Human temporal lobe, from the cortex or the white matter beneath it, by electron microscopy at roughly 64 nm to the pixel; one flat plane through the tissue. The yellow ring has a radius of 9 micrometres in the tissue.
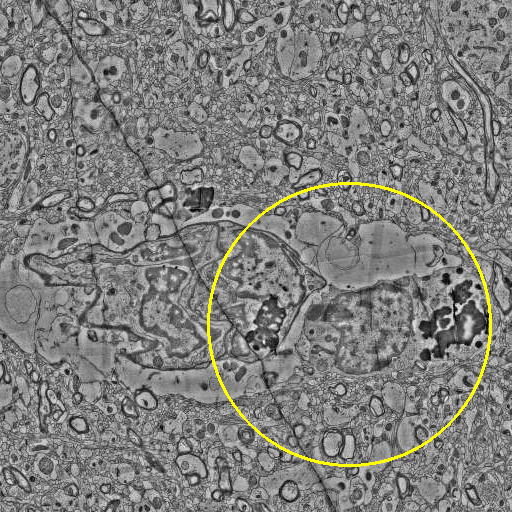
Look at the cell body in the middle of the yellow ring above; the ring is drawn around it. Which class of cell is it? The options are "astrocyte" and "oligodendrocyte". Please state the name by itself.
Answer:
oligodendrocyte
